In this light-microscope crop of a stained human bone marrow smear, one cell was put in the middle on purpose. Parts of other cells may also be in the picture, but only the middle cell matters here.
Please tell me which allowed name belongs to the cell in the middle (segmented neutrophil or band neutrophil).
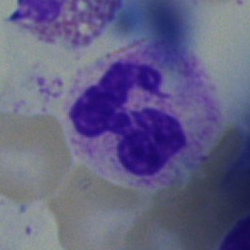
segmented neutrophil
